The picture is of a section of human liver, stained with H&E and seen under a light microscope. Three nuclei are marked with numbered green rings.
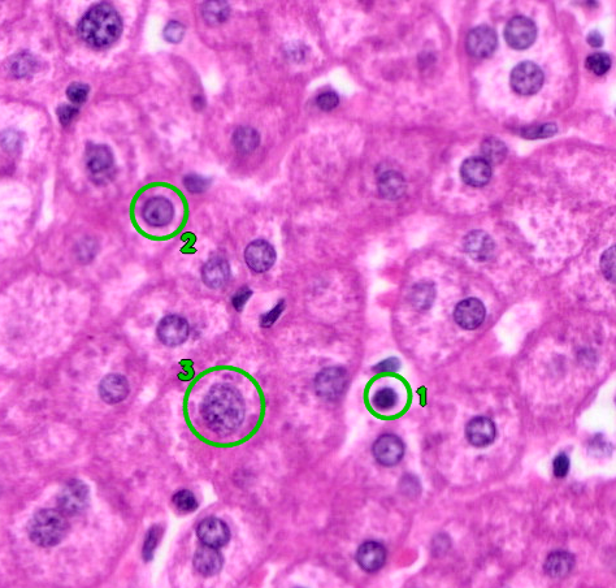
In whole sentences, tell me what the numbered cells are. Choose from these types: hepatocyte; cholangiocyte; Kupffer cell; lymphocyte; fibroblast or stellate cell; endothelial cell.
Cell 1 is a lymphocyte, cell 2 is a hepatocyte and cell 3 is a hepatocyte.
